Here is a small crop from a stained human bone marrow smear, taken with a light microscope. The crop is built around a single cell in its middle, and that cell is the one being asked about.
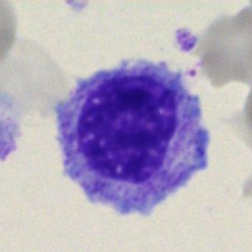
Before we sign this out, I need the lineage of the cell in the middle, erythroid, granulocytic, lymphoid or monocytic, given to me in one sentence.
The centered cell is a member of the granulocytic lineage.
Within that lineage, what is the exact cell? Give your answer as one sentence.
At the crop's centre, the cell is a myelocyte.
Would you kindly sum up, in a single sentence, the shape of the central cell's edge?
The cell shows an uneven border, formed by ragged areas or by outward projections.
